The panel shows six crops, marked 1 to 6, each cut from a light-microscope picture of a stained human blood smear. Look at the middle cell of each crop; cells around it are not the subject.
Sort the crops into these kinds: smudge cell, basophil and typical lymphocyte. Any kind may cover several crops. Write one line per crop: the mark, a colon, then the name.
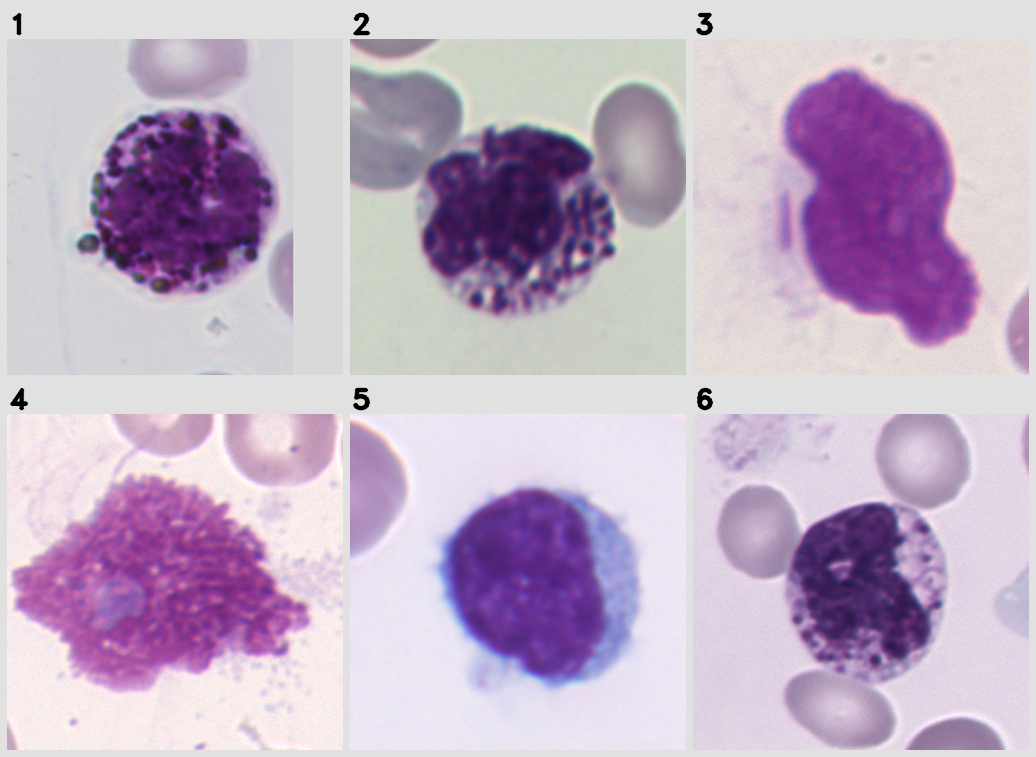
1: basophil
2: basophil
3: smudge cell
4: smudge cell
5: typical lymphocyte
6: basophil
